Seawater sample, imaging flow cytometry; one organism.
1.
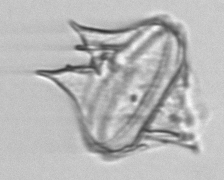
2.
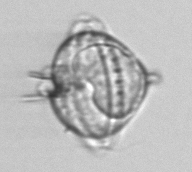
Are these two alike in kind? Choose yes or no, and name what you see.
Yes. Protoperidinium.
